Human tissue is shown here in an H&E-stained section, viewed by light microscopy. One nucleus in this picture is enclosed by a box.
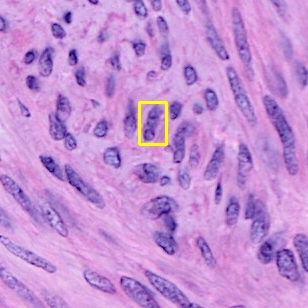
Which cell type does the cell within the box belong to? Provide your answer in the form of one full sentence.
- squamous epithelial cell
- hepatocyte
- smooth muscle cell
Assigned to a cell type, the cell within the box is a smooth muscle cell.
